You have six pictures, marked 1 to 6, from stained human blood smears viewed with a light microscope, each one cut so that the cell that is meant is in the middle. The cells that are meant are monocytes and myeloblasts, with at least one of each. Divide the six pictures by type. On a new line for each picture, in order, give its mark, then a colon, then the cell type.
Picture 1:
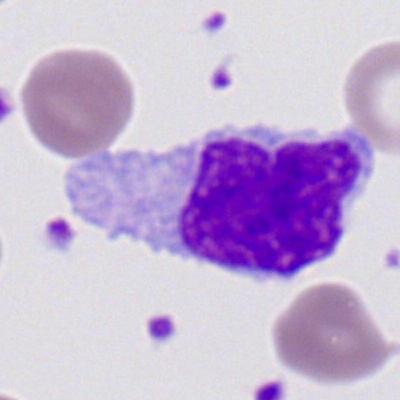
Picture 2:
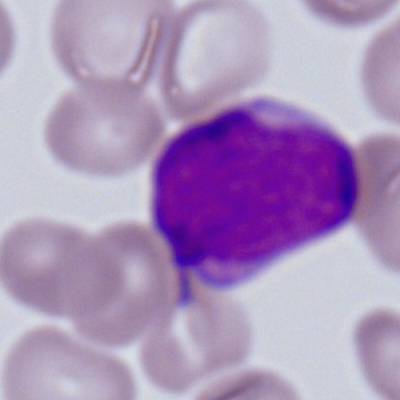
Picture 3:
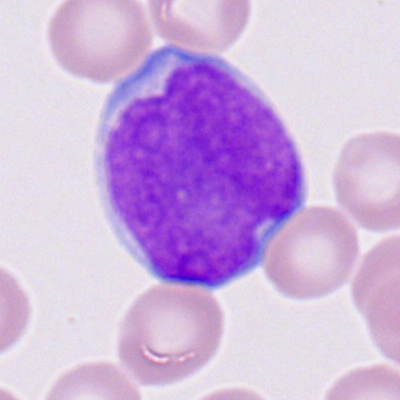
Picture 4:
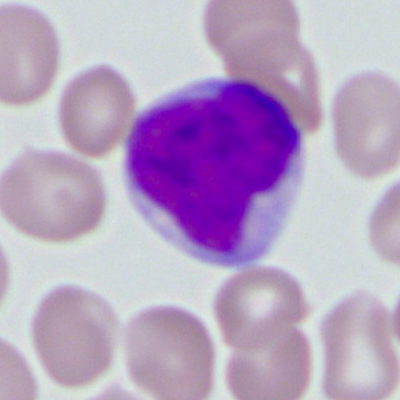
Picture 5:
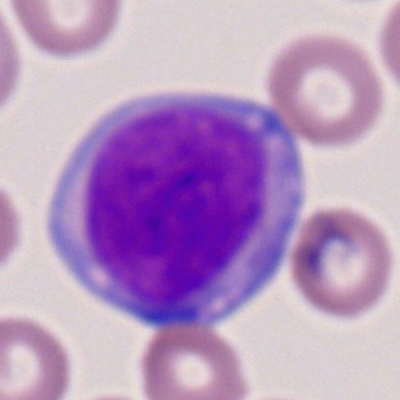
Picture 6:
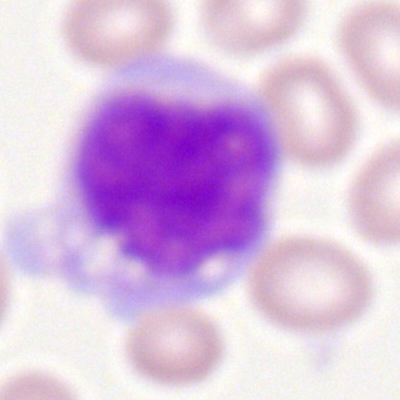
1: monocyte
2: myeloblast
3: myeloblast
4: myeloblast
5: myeloblast
6: monocyte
